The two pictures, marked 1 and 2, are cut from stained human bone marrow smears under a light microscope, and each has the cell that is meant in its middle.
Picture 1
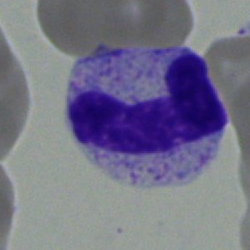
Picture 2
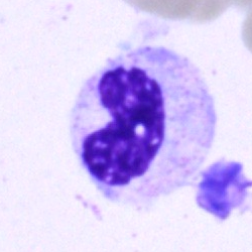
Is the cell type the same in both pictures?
yes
